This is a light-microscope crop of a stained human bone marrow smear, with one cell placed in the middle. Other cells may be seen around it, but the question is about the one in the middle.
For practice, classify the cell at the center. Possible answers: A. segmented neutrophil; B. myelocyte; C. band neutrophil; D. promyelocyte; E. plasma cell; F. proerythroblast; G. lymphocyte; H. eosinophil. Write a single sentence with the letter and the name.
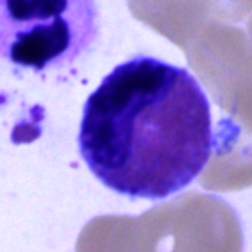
The central cell, an eosinophil, is correctly identified by option H.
